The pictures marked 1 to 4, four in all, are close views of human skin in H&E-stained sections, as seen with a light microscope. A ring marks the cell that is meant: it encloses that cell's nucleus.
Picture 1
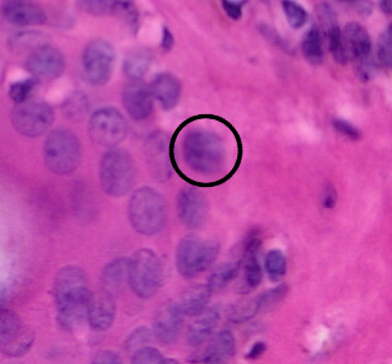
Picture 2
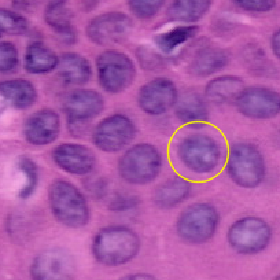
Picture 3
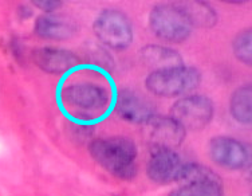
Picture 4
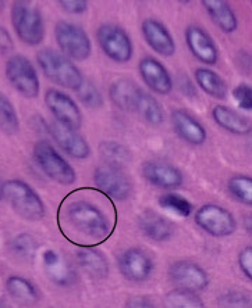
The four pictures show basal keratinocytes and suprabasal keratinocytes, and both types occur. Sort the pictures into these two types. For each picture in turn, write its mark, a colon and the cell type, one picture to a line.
1: basal keratinocyte
2: suprabasal keratinocyte
3: basal keratinocyte
4: suprabasal keratinocyte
